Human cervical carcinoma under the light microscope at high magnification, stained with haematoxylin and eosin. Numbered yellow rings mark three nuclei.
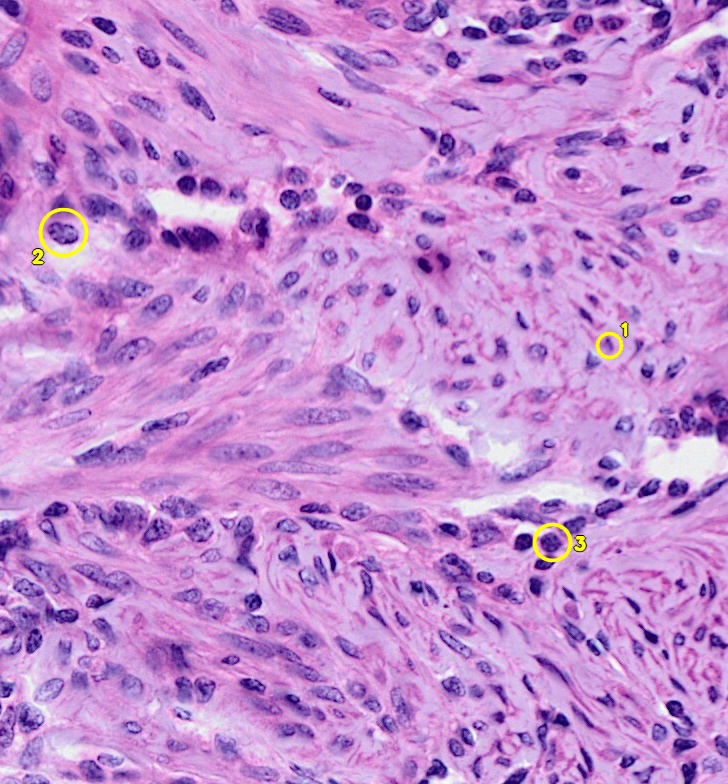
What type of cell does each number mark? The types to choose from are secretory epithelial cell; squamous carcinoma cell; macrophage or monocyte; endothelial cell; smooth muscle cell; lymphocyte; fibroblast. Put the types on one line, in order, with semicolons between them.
smooth muscle cell; lymphocyte; lymphocyte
